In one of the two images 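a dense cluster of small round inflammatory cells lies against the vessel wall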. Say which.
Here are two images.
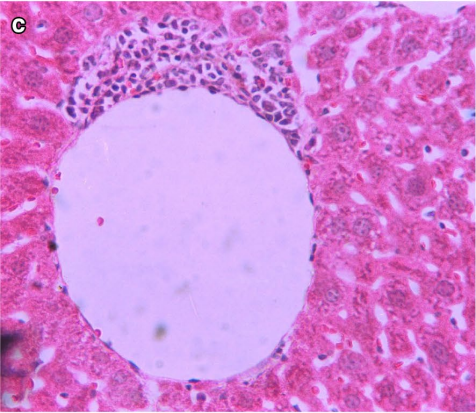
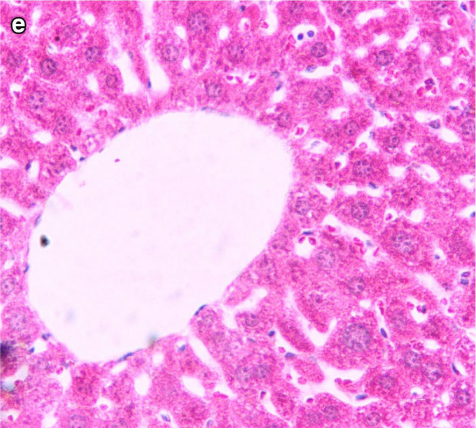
the first image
